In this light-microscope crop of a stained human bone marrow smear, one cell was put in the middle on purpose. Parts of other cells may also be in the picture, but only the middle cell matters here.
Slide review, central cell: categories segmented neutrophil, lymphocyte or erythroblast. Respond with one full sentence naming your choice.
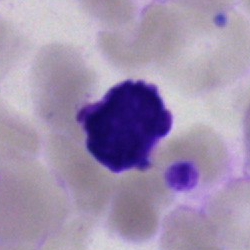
Regarding the central cell, it is a lymphocyte.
